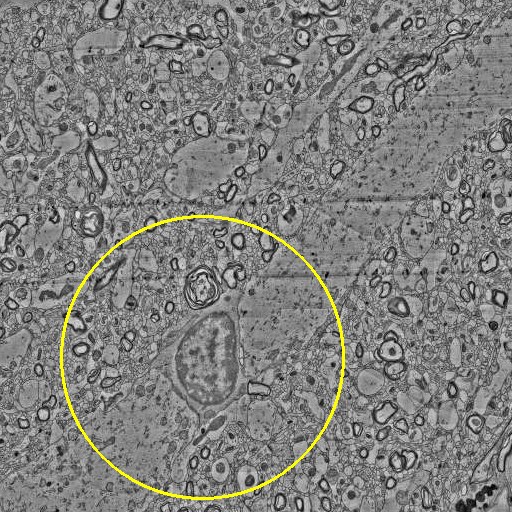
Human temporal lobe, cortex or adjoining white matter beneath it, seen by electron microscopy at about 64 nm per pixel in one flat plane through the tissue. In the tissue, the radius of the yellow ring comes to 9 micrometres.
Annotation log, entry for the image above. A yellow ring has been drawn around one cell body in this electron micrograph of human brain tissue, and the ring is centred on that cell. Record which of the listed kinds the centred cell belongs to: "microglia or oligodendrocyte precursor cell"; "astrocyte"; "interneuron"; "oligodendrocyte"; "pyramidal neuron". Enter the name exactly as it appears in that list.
oligodendrocyte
